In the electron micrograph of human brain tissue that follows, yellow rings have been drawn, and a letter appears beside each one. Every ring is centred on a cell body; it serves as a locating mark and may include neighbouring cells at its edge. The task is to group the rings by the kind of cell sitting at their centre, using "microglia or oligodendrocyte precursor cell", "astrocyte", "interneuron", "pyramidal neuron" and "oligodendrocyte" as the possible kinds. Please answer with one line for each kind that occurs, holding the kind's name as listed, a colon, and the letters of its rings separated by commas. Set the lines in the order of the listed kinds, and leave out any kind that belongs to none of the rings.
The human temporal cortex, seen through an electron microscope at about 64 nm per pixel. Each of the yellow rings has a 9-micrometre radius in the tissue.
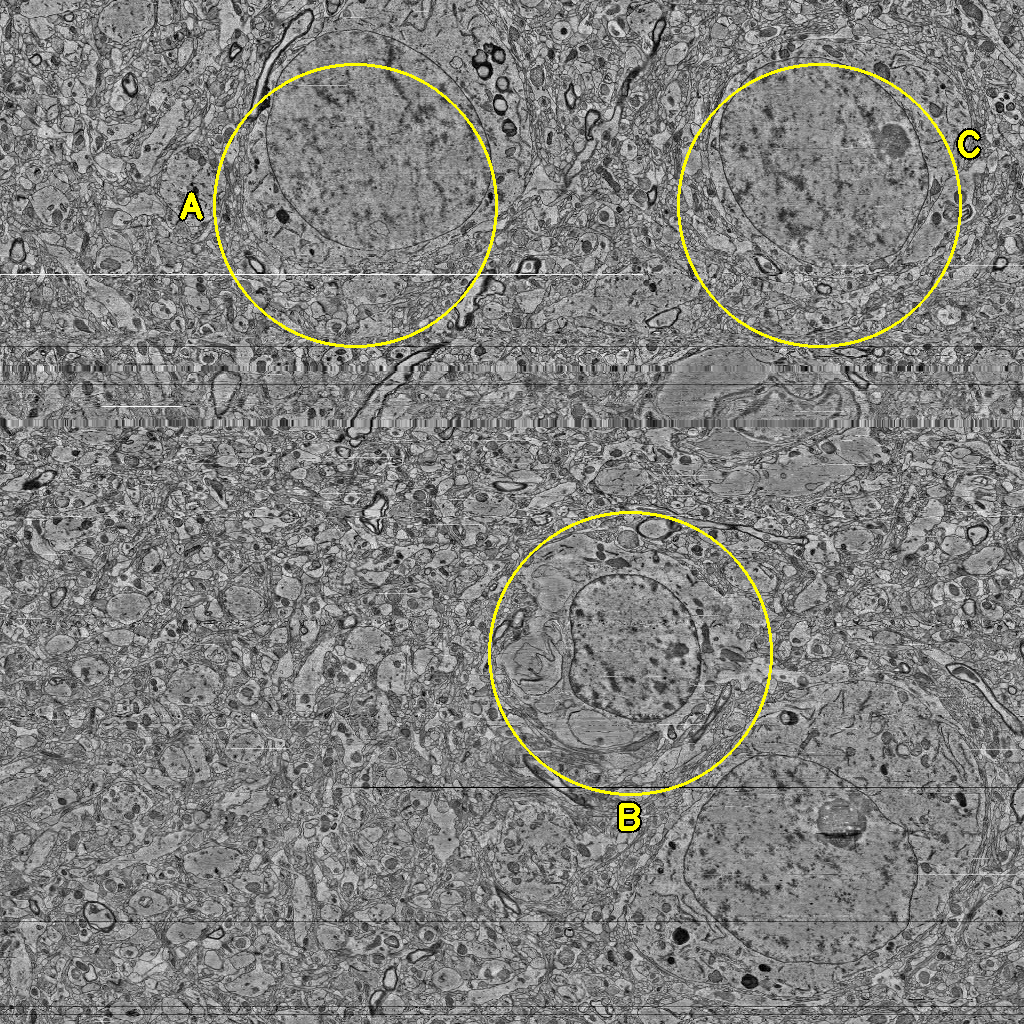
astrocyte: B
pyramidal neuron: A, C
